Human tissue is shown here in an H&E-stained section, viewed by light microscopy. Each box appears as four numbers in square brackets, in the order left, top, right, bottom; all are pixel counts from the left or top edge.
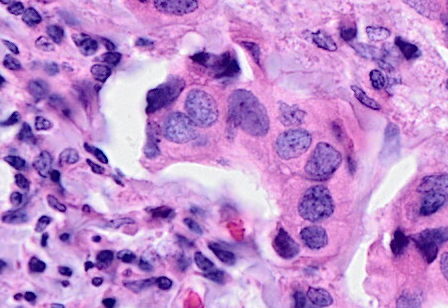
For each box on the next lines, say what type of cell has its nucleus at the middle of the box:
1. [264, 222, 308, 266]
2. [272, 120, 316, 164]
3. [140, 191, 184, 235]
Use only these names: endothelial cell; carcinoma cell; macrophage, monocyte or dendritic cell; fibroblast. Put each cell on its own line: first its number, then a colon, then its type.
1: carcinoma cell
2: carcinoma cell
3: macrophage, monocyte or dendritic cell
